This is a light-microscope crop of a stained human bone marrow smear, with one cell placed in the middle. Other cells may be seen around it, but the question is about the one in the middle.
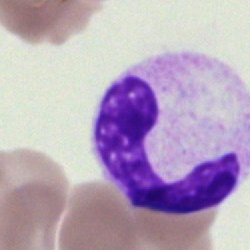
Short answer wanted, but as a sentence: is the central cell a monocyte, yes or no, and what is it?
No, the central cell is not a monocyte; it is a band neutrophil.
